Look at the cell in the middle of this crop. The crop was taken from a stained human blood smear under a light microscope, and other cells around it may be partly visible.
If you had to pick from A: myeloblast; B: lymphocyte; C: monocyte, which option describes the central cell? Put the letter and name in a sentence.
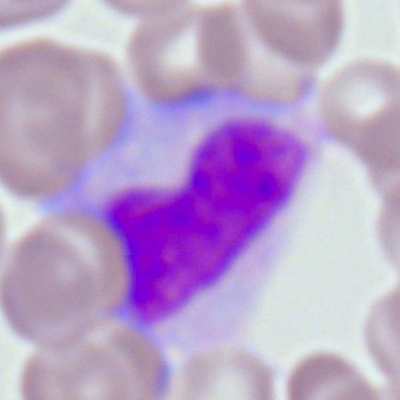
Option C is correct in naming the middle cell a monocyte.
